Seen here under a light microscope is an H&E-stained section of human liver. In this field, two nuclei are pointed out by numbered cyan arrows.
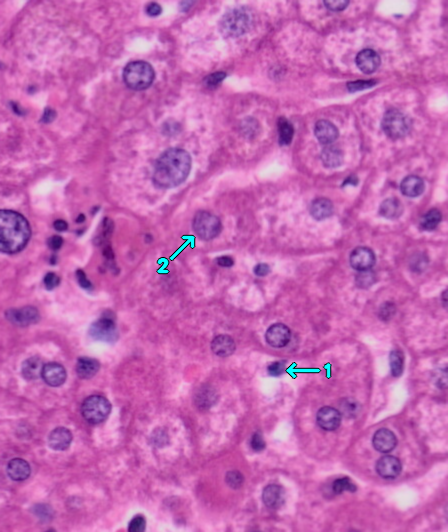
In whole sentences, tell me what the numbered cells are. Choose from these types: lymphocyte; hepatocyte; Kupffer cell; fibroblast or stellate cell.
Cell 1 is a lymphocyte and cell 2 is a hepatocyte.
